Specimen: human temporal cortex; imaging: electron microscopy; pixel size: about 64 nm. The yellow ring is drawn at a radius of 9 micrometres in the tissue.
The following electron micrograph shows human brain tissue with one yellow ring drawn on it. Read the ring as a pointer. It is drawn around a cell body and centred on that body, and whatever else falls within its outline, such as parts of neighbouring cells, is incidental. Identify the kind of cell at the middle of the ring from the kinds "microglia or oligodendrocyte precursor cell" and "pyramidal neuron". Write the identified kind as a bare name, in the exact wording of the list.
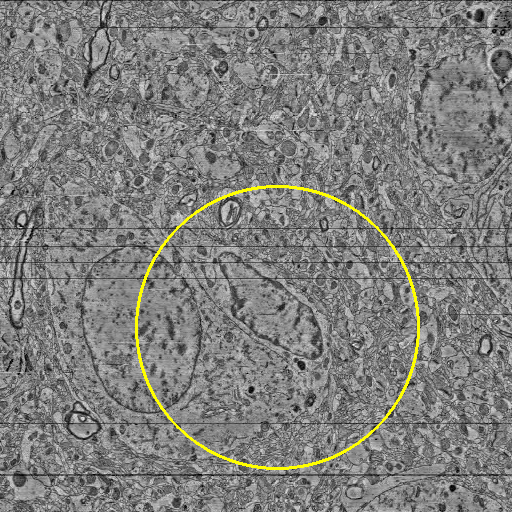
microglia or oligodendrocyte precursor cell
